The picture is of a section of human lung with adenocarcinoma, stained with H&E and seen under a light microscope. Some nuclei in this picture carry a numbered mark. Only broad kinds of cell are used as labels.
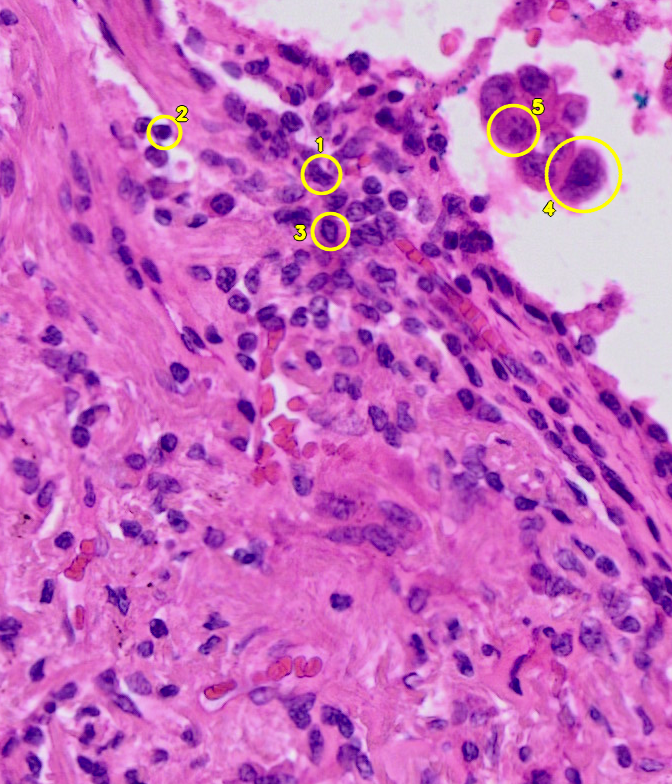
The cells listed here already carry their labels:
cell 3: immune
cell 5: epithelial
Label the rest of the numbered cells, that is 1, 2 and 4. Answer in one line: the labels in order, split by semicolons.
immune; immune; epithelial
